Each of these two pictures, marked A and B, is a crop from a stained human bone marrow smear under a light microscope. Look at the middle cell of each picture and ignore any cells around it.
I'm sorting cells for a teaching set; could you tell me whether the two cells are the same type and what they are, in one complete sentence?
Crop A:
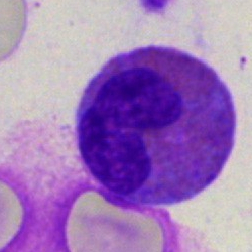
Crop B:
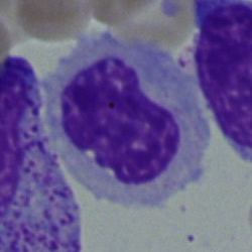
No, crop A shows an eosinophil and crop B shows a metamyelocyte.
